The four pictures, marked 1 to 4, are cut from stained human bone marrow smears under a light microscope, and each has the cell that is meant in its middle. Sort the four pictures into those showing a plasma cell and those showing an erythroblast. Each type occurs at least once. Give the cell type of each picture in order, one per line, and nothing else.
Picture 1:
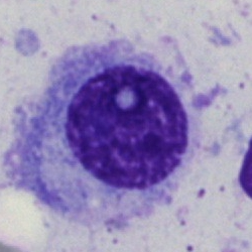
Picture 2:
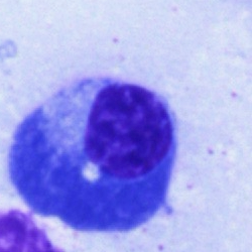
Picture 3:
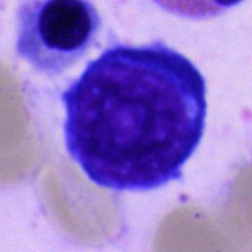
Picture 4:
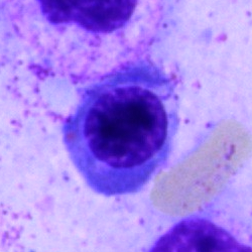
plasma cell
plasma cell
erythroblast
erythroblast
